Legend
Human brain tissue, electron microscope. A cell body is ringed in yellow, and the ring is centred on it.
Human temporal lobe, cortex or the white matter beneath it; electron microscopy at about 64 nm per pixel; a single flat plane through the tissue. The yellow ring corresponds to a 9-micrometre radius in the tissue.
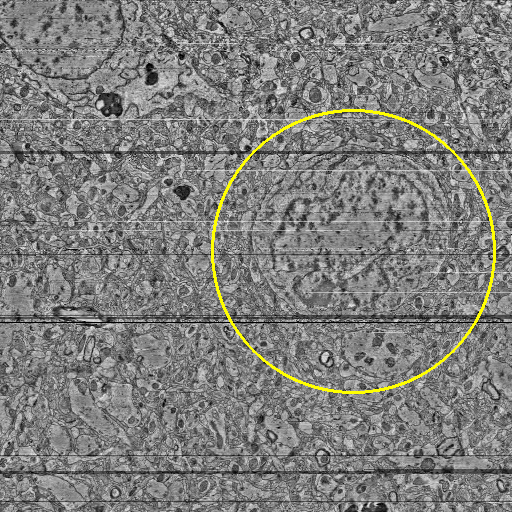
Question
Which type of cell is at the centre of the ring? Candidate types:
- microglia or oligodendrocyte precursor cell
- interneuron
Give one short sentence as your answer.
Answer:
The yellow ring is centred here on an interneuron.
